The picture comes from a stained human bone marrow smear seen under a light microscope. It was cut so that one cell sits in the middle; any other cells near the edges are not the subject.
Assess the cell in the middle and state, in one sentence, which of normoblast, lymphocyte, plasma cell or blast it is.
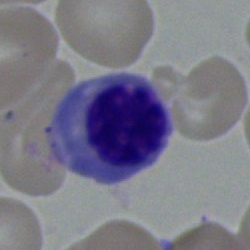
The cell at the heart of this crop is a normoblast.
